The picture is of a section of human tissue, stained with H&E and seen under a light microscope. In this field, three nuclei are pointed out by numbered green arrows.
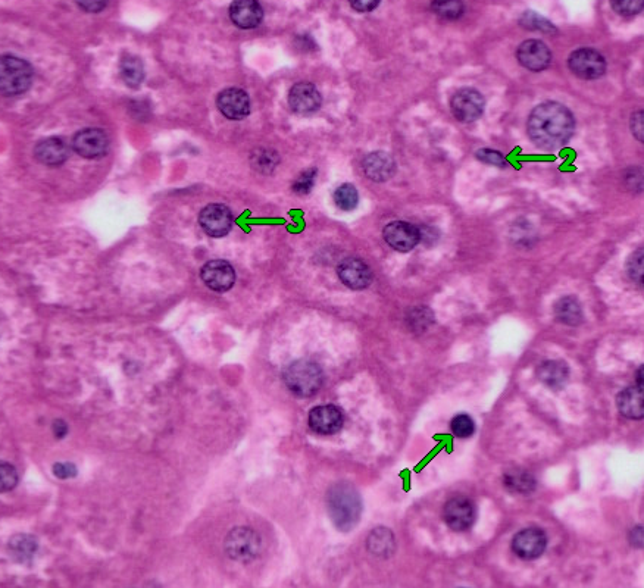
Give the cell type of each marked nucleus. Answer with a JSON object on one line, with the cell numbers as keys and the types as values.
{"1": "lymphocyte", "2": "fibroblast or stellate cell", "3": "hepatocyte"}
